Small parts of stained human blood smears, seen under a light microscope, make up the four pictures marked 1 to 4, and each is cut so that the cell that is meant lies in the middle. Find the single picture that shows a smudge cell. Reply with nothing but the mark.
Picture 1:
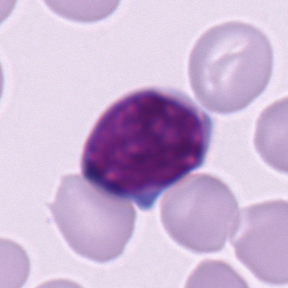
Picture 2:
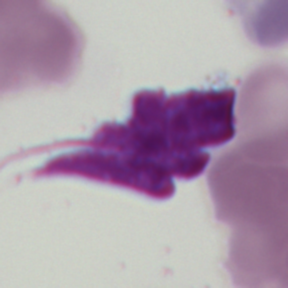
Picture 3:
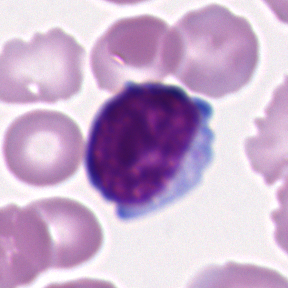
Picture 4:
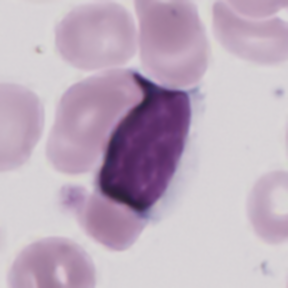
2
